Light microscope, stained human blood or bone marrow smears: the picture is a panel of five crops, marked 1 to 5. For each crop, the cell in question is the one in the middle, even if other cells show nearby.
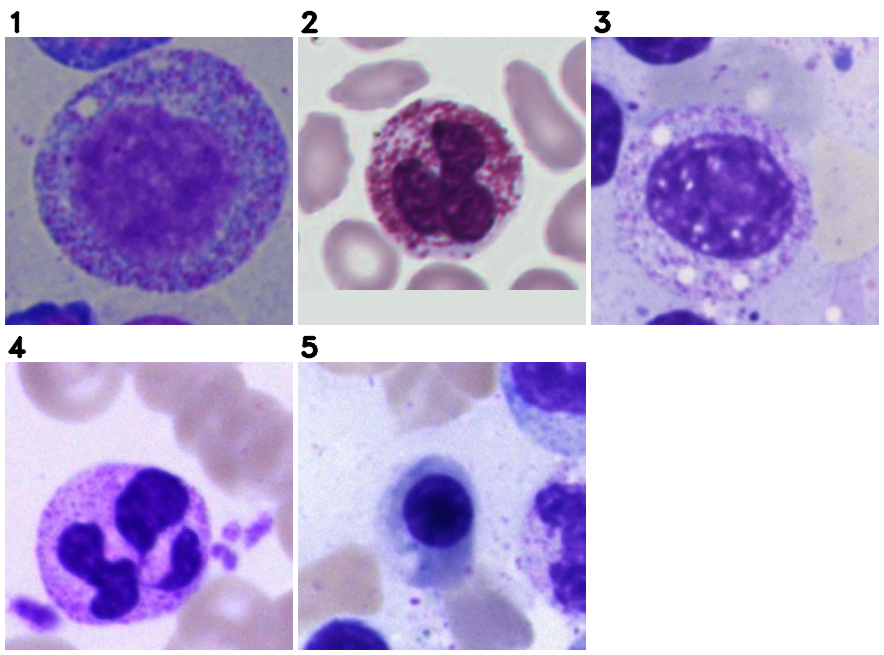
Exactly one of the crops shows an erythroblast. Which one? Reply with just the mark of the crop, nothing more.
5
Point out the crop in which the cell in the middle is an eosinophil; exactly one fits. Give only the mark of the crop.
2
